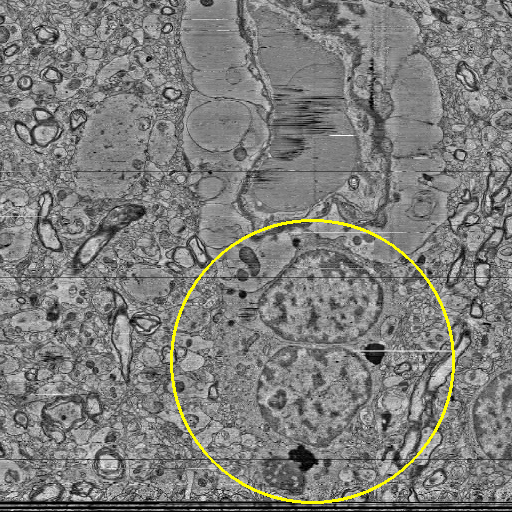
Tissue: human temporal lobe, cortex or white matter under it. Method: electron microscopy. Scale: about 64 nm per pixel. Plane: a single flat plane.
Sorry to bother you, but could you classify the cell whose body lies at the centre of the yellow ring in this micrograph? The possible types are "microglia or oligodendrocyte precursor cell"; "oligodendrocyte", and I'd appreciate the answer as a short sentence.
The ringed cell body is that of an oligodendrocyte.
